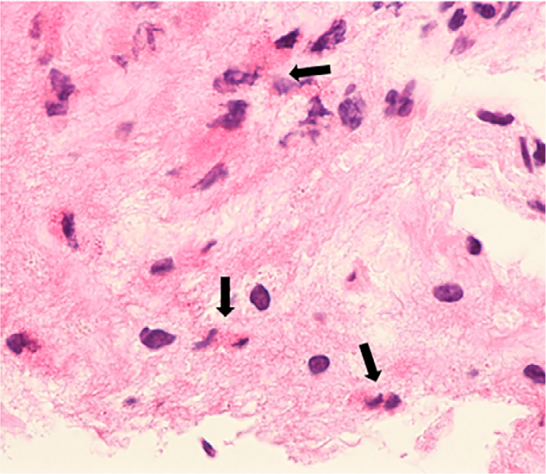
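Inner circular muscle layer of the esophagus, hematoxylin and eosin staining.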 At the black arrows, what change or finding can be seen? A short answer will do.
Collapsed nuclei surrounded by eosinophilic regions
